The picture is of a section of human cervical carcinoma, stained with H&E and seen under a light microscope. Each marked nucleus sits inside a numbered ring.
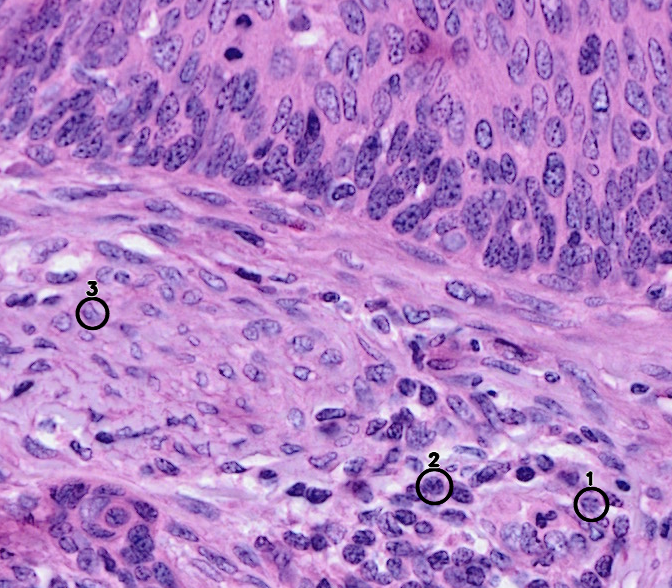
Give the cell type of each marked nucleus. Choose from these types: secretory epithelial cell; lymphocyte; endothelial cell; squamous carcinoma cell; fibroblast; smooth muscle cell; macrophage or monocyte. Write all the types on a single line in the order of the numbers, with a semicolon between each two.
lymphocyte; lymphocyte; smooth muscle cell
